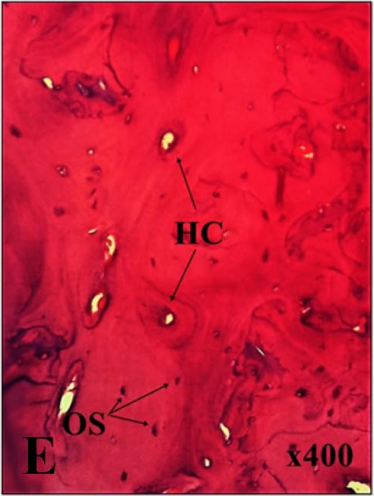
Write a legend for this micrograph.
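This is compact bone at high power, where the dense bone matrix is stained bright red throughout. Haversian canals show as small bright openings, some with a yellowish shine, each surrounded by faint concentric rings of matrix. Osteocytes appear as small dark dots and slits in their lacunae, scattered between the canals. Thin dark curving lines cross the matrix where neighbouring osteons border each other.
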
